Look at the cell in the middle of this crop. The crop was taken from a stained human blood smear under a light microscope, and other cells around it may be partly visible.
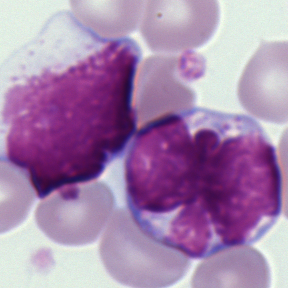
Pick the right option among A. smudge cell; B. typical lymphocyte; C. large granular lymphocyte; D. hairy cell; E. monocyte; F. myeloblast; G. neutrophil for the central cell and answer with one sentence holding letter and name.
The cell in the middle is a large granular lymphocyte, so option C is correct.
